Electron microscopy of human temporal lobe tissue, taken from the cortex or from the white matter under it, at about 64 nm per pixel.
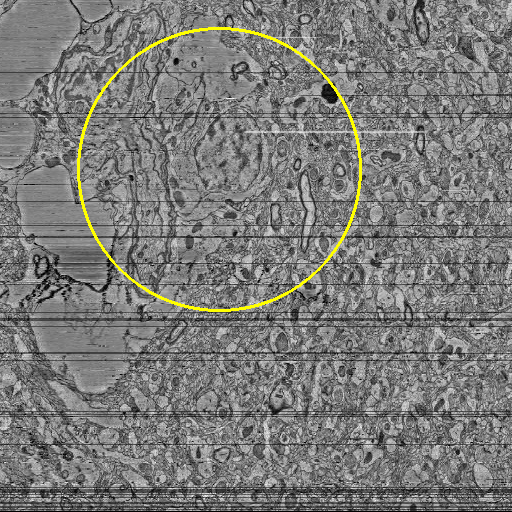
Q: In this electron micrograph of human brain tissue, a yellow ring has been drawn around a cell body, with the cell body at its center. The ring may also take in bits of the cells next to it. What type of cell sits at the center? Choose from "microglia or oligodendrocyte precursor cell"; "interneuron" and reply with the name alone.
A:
microglia or oligodendrocyte precursor cell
